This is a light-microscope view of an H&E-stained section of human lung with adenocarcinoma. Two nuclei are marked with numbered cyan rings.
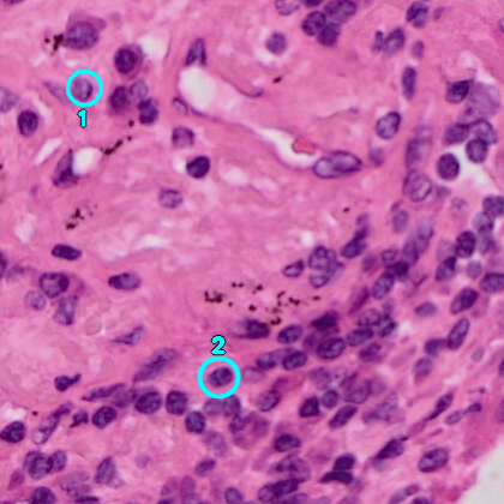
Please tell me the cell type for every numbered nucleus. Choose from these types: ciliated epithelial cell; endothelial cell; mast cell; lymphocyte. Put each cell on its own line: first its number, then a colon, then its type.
1: mast cell
2: lymphocyte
